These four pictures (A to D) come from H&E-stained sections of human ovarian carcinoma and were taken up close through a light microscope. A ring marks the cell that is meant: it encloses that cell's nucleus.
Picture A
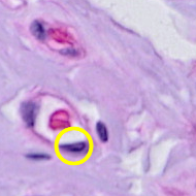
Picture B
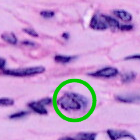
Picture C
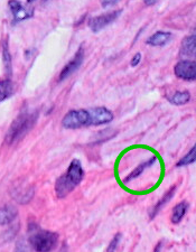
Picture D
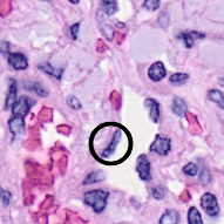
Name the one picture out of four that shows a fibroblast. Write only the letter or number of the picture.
C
